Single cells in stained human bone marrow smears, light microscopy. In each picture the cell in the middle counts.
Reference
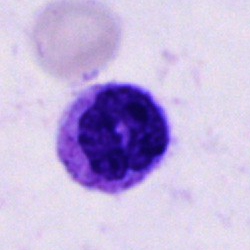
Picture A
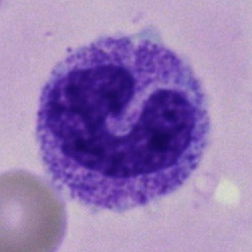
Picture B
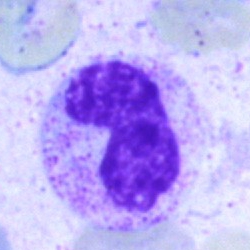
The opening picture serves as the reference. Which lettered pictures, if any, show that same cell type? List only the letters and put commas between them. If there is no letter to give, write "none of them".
A, B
